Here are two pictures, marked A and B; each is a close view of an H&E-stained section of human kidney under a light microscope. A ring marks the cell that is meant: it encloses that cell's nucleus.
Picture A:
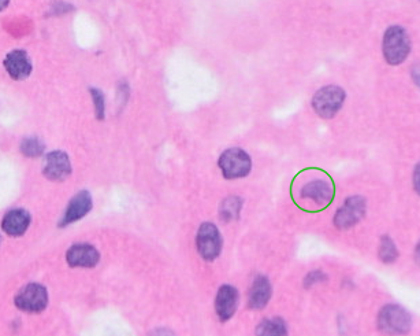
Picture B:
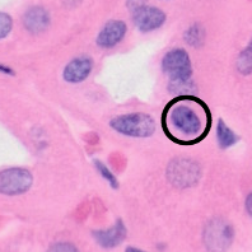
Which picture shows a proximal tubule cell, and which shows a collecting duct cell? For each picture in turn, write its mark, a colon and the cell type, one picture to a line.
A: proximal tubule cell
B: collecting duct cell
